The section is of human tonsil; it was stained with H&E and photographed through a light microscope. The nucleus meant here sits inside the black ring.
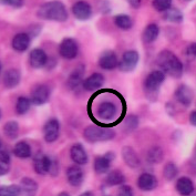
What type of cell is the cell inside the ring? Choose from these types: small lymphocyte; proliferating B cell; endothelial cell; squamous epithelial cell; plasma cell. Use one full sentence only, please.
In this section, the cell inside the ring is a plasma cell.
